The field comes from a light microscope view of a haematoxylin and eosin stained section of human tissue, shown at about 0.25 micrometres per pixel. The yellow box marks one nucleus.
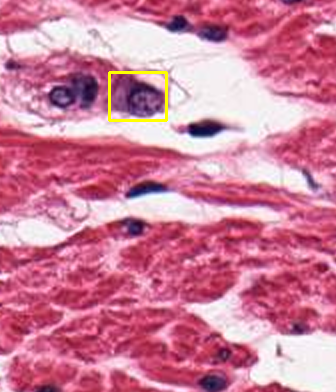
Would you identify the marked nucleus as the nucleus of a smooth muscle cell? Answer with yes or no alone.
no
